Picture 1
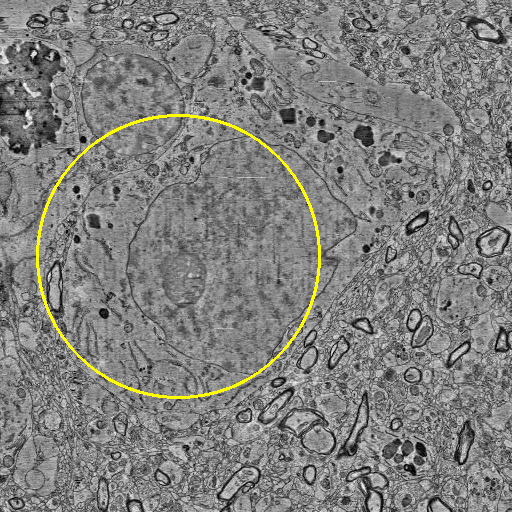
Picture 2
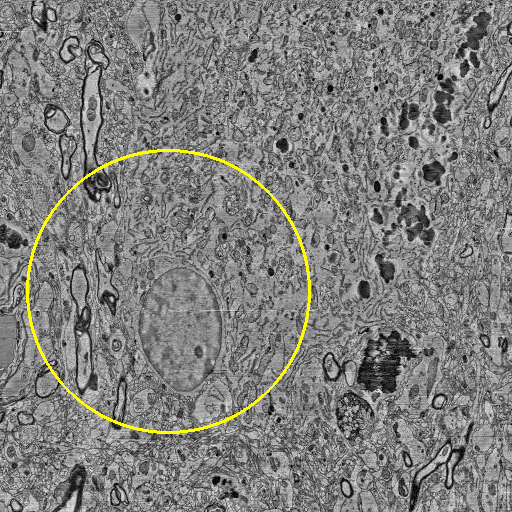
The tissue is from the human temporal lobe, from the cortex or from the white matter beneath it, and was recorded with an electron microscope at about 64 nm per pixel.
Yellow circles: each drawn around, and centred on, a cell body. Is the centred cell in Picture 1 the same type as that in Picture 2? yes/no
no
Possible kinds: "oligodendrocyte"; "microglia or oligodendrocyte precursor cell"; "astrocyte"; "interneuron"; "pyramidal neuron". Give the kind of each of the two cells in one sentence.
The cell in the second picture is an oligodendrocyte, and that in the first is a pyramidal neuron.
